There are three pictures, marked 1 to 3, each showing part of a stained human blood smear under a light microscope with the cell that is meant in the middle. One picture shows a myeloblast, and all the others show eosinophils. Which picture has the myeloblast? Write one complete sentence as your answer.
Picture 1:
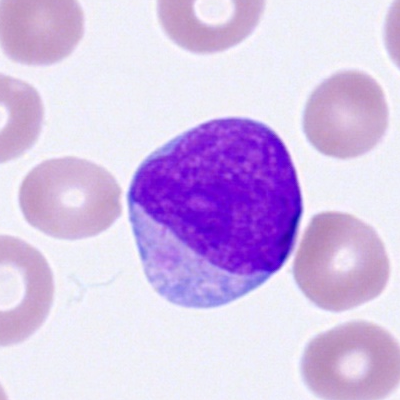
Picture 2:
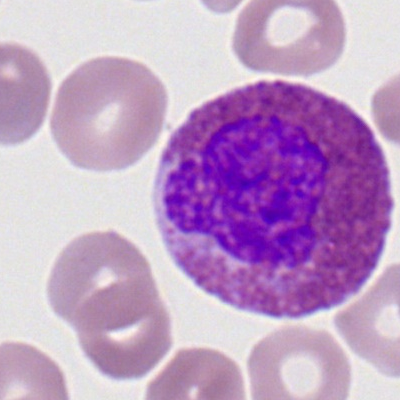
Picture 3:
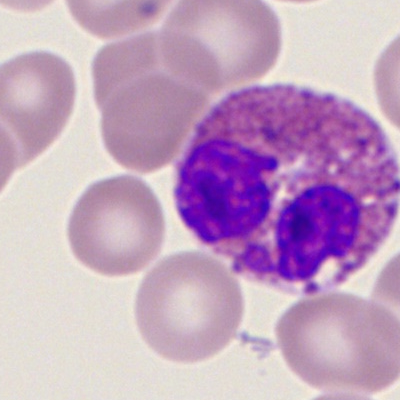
Picture 1 shows the myeloblast.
